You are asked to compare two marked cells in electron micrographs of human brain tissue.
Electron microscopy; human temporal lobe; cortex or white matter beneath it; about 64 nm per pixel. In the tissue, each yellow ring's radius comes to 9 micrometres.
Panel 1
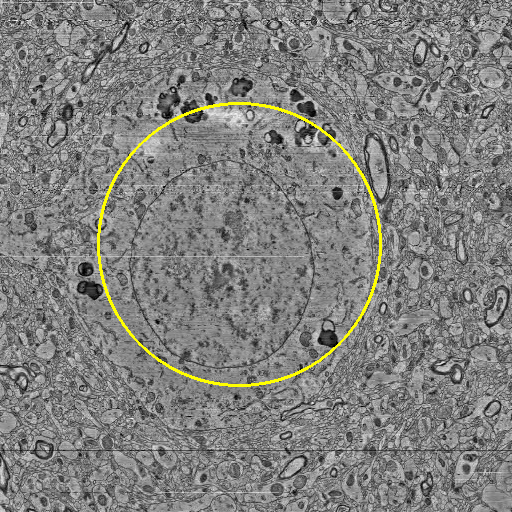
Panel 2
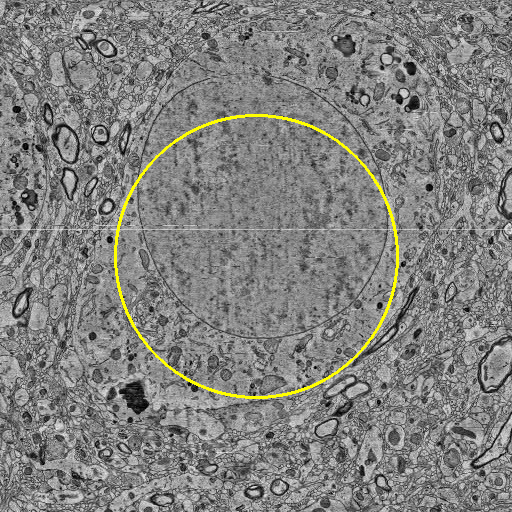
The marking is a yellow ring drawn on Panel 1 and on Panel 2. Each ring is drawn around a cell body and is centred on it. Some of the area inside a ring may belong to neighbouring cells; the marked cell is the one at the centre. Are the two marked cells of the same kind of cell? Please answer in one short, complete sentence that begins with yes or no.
Yes, the two marked cells are of the same kind.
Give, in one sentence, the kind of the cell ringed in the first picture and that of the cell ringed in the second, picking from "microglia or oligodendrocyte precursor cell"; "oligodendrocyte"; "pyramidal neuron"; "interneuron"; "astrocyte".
In each of the two pictures, the ringed cell is a pyramidal neuron.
